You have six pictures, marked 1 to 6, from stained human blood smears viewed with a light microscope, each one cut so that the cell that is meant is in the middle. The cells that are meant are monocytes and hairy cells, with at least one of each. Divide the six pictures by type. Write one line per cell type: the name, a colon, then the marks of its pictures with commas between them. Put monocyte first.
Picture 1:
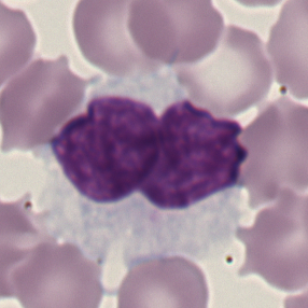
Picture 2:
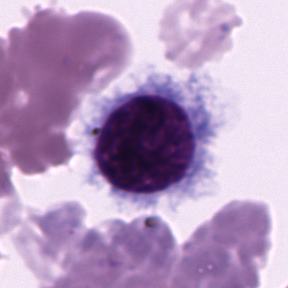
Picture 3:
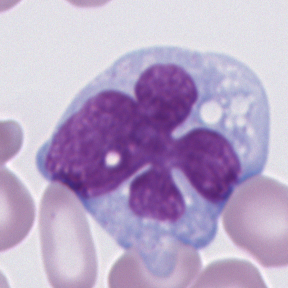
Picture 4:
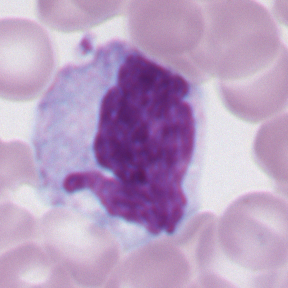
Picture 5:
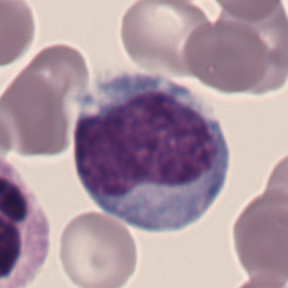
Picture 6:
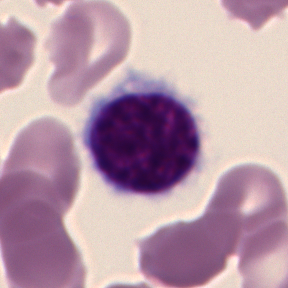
monocyte: 3, 4, 5
hairy cell: 1, 2, 6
